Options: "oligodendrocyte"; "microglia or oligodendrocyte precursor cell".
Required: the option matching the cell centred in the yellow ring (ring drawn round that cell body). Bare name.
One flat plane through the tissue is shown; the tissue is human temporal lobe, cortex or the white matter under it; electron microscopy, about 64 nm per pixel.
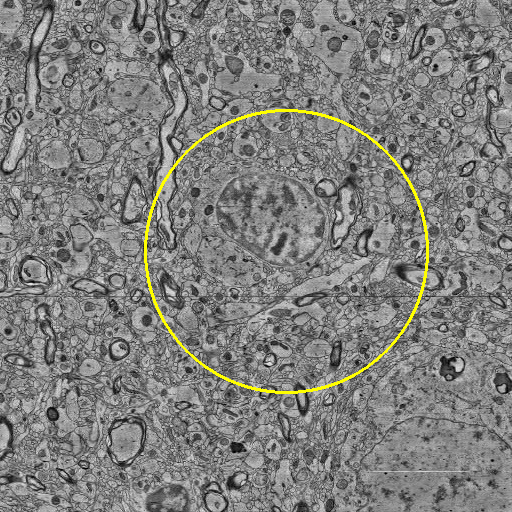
oligodendrocyte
